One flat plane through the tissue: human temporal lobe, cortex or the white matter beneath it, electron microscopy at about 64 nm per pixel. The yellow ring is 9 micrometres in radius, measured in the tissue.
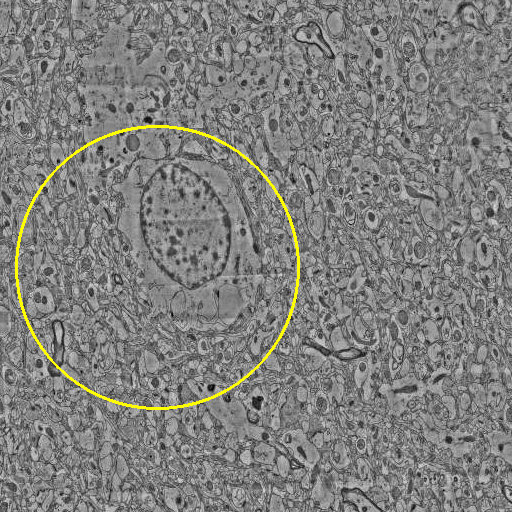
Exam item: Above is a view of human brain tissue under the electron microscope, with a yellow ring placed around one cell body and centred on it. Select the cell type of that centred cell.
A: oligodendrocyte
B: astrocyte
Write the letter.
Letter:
B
